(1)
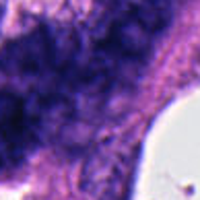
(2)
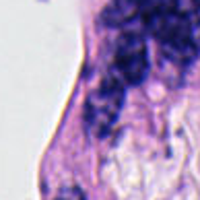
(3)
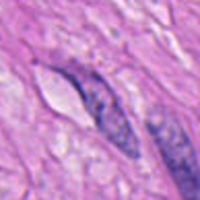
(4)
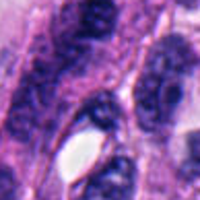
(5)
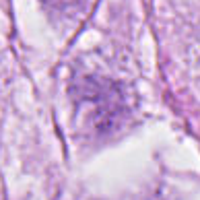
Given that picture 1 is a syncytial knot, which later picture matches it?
2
